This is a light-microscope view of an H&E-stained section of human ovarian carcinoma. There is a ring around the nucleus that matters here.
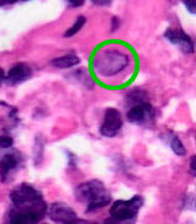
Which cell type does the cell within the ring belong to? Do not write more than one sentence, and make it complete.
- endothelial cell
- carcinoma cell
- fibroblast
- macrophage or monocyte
With respect to cell type, the cell within the ring is an endothelial cell.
